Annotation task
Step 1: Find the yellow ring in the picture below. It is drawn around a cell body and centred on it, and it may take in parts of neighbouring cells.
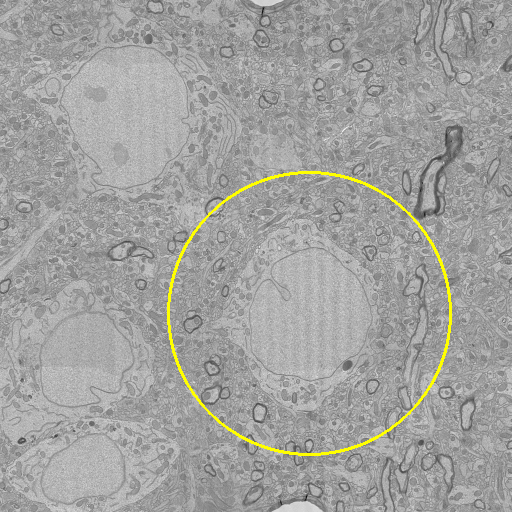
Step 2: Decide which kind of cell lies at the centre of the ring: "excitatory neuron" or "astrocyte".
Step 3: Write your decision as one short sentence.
The kind of cell at the ring's centre is an excitatory neuron.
